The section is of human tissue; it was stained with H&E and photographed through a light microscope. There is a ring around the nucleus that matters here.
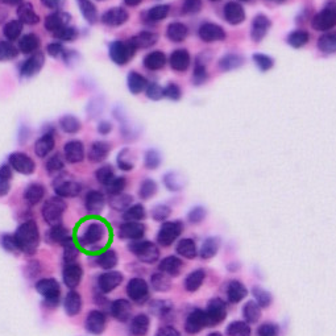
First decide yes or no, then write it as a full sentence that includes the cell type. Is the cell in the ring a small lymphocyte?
Yes, the cell in the ring is accurately described as a small lymphocyte.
